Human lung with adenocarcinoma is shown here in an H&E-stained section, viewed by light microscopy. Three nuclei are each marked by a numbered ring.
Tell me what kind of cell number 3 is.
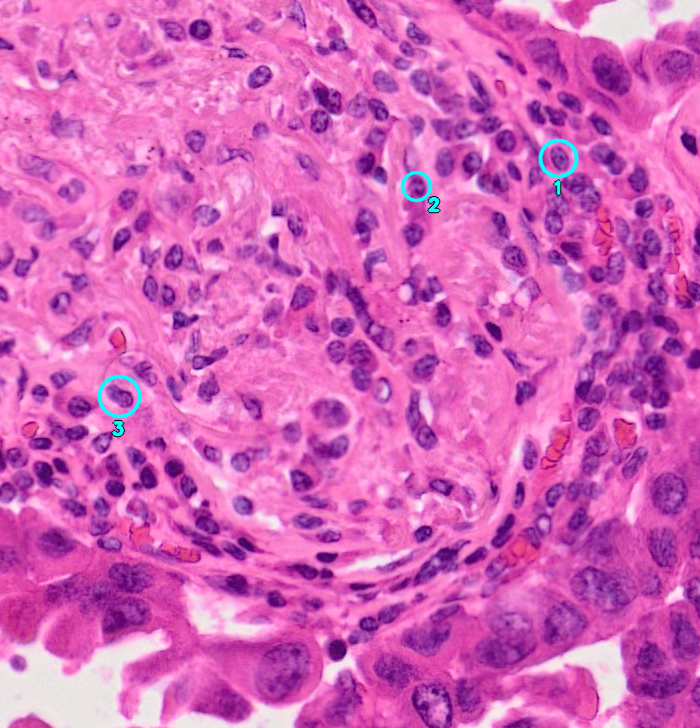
lymphocyte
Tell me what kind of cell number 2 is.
plasma cell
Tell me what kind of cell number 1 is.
mast cell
